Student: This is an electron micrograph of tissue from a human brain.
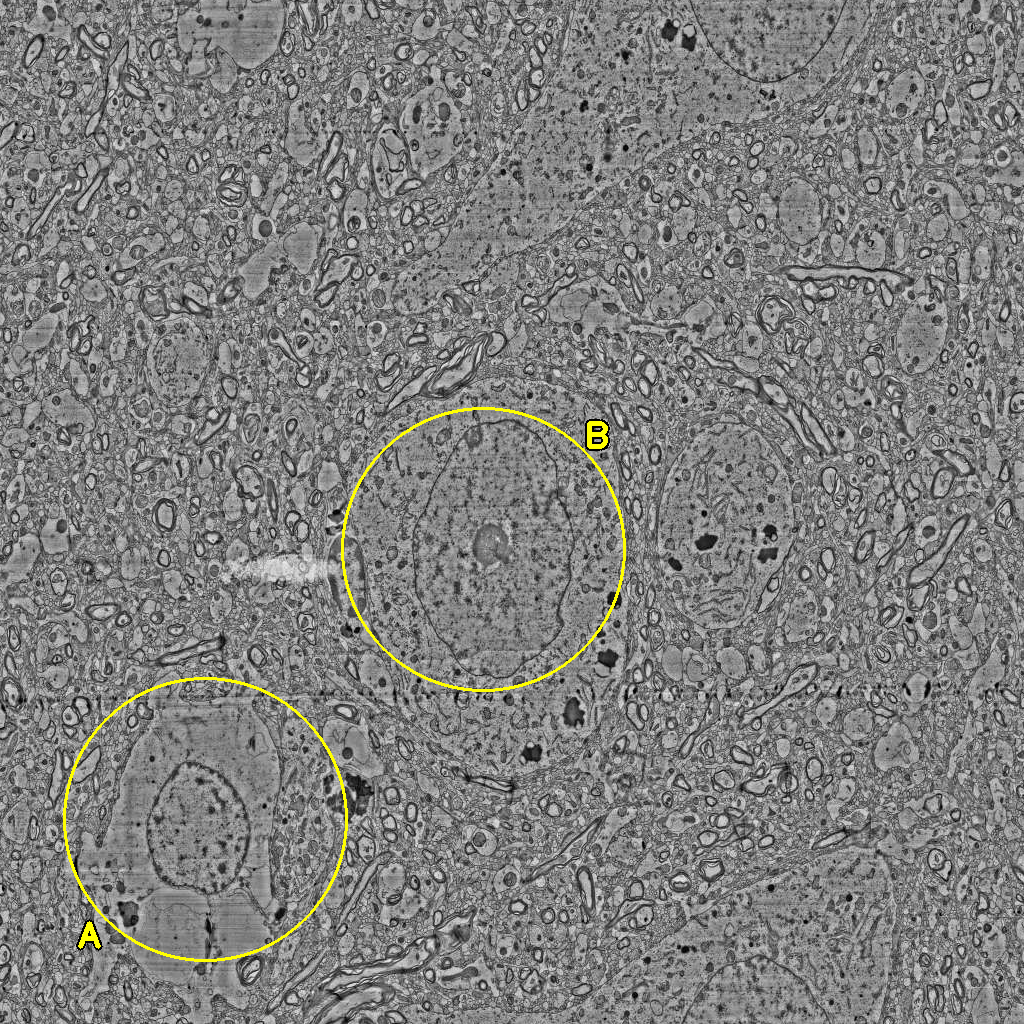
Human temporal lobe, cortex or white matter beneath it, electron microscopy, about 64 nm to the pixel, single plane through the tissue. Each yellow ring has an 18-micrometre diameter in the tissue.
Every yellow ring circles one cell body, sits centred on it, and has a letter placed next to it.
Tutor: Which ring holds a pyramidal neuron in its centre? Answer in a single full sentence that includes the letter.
Ring B is the ring whose centre holds the cell asked for in the picture.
